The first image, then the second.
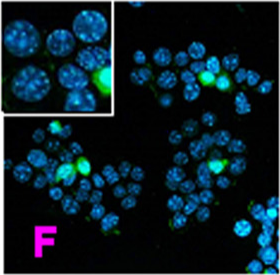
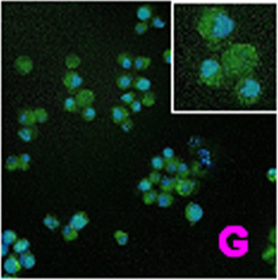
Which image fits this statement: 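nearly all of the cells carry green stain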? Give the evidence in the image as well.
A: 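Second image: almost every cell shows green signal around a blue nucleus. First image: most cells show only blue nuclei, with green in a few scattered cells.
Answer: the second image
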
